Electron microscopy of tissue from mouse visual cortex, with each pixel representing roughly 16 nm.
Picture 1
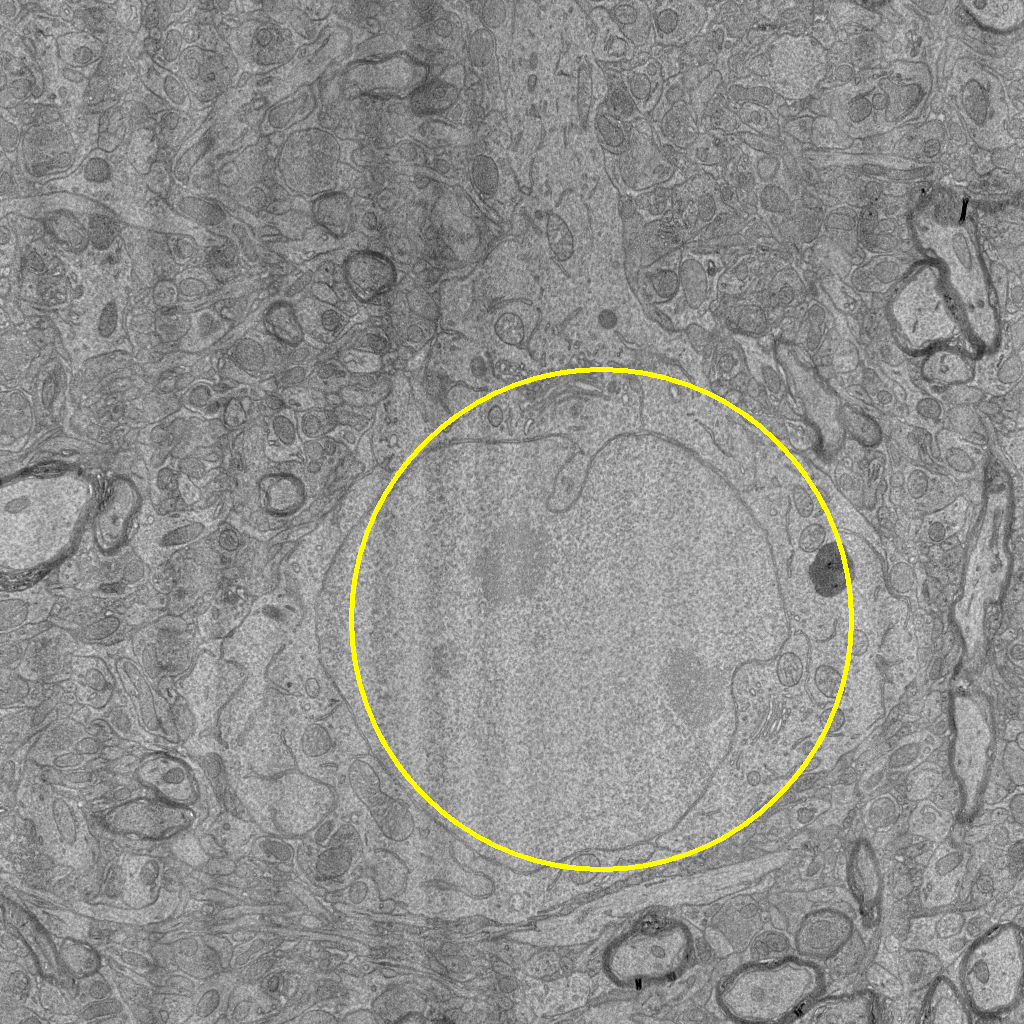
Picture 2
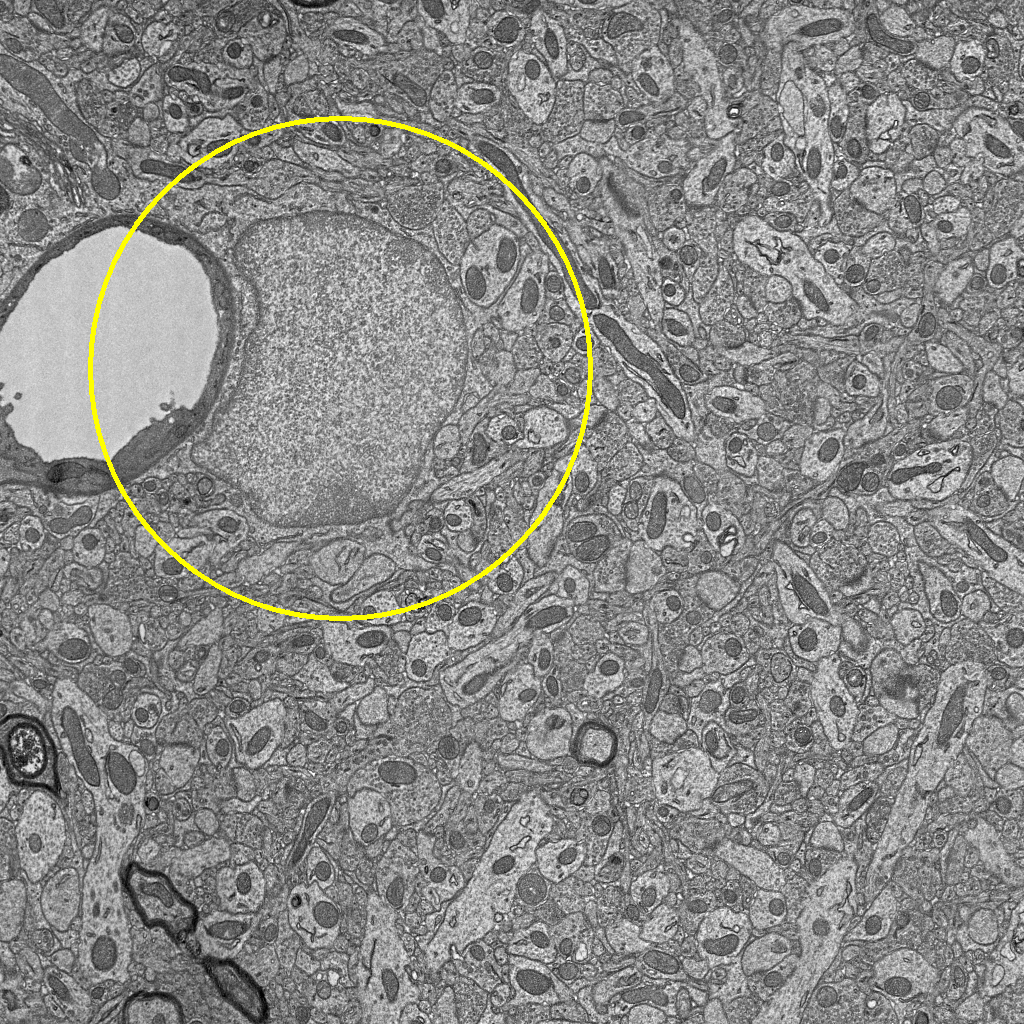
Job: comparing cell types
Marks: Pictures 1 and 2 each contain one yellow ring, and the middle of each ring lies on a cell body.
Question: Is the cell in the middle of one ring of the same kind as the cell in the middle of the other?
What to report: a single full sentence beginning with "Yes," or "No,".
No, the cell at the ring centre in Picture 1 and its partner in Picture 2 are of two kinds.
